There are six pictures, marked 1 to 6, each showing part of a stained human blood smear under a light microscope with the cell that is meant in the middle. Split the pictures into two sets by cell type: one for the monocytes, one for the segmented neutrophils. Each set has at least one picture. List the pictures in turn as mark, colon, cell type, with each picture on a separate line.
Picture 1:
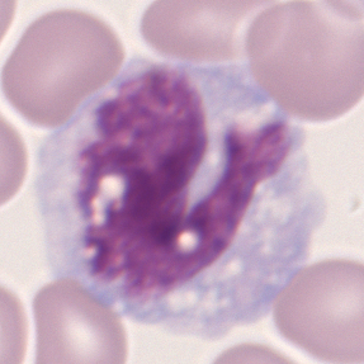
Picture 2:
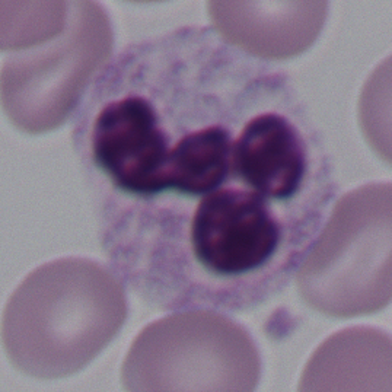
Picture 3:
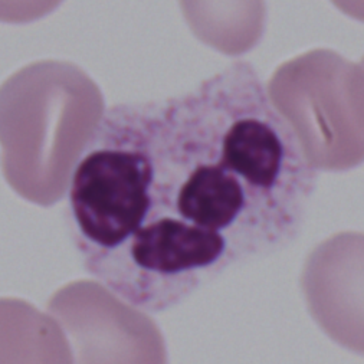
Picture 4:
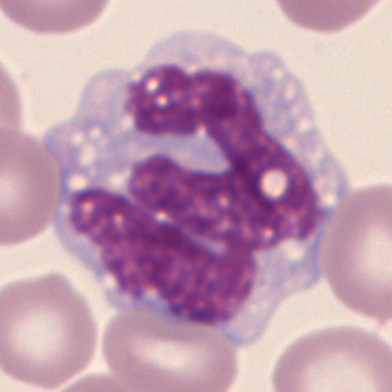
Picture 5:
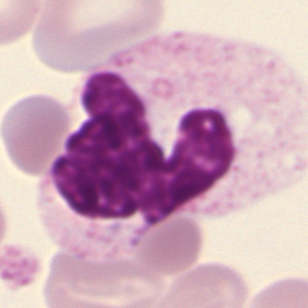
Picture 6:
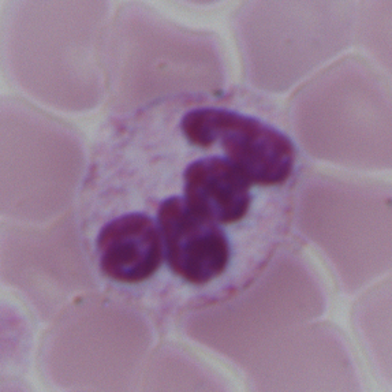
1: monocyte
2: segmented neutrophil
3: segmented neutrophil
4: monocyte
5: segmented neutrophil
6: segmented neutrophil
